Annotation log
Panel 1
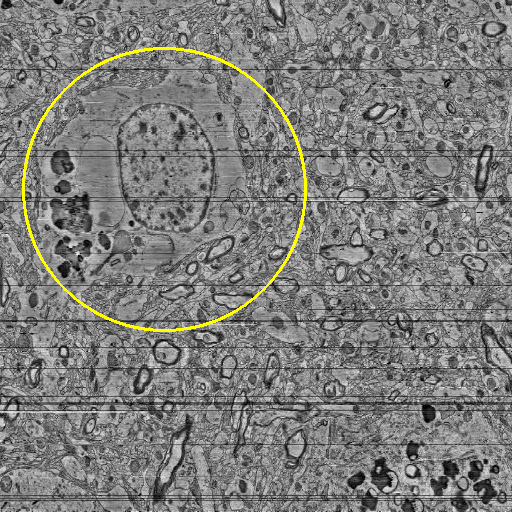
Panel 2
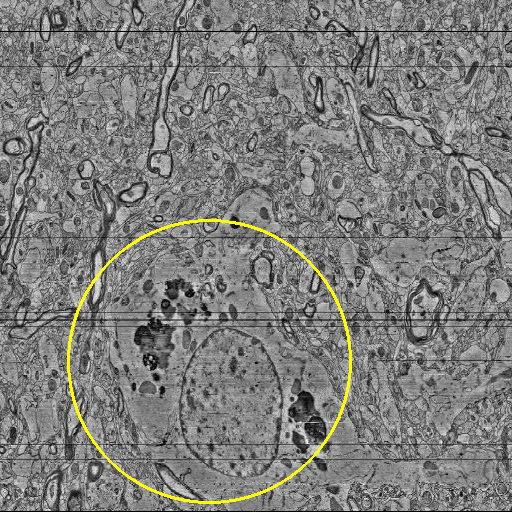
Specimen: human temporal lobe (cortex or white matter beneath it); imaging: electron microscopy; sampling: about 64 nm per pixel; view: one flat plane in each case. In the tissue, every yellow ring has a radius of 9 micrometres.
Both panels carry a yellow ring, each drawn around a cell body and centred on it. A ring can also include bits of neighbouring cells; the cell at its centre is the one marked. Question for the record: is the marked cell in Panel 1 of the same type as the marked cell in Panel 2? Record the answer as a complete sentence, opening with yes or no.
Yes, the marked cells in Panel 1 and Panel 2 are of the same type.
